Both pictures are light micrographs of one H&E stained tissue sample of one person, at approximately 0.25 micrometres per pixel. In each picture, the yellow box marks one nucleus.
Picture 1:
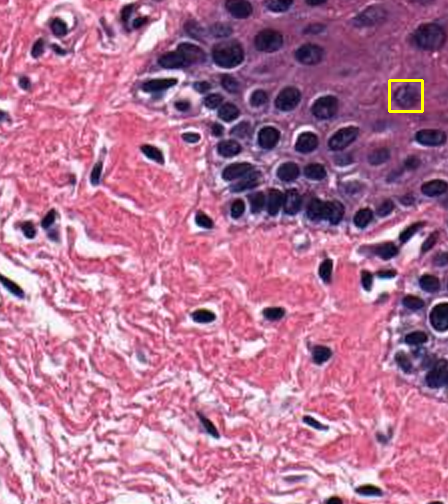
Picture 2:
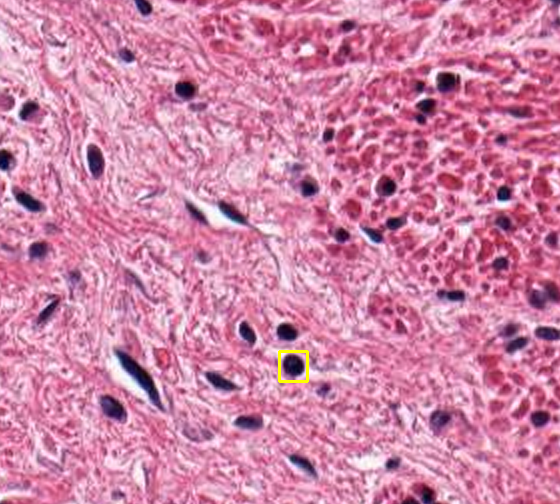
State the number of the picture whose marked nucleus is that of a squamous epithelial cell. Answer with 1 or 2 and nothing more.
1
